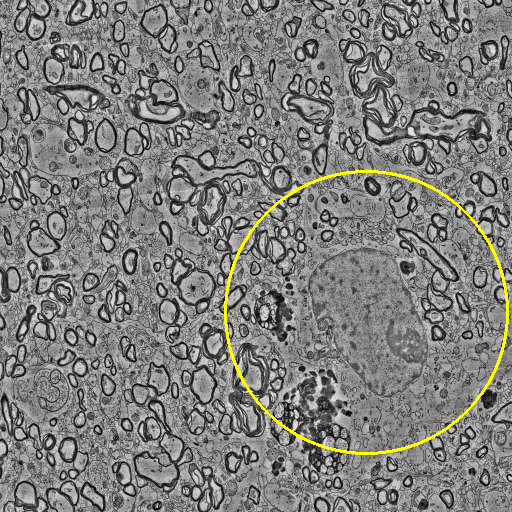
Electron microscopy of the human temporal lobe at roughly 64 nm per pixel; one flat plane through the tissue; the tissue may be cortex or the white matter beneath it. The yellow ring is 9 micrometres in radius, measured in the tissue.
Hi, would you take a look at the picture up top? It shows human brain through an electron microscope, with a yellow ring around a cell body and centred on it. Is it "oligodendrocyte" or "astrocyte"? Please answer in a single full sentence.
The best fit for the cell in the middle of the ring is an astrocyte, I reckon.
